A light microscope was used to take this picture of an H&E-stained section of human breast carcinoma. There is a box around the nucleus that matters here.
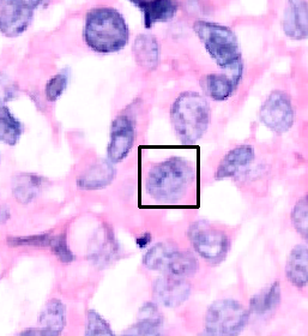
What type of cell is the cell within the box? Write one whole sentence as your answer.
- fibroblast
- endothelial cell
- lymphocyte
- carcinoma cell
Typologically, the cell within the box is a carcinoma cell in this section.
